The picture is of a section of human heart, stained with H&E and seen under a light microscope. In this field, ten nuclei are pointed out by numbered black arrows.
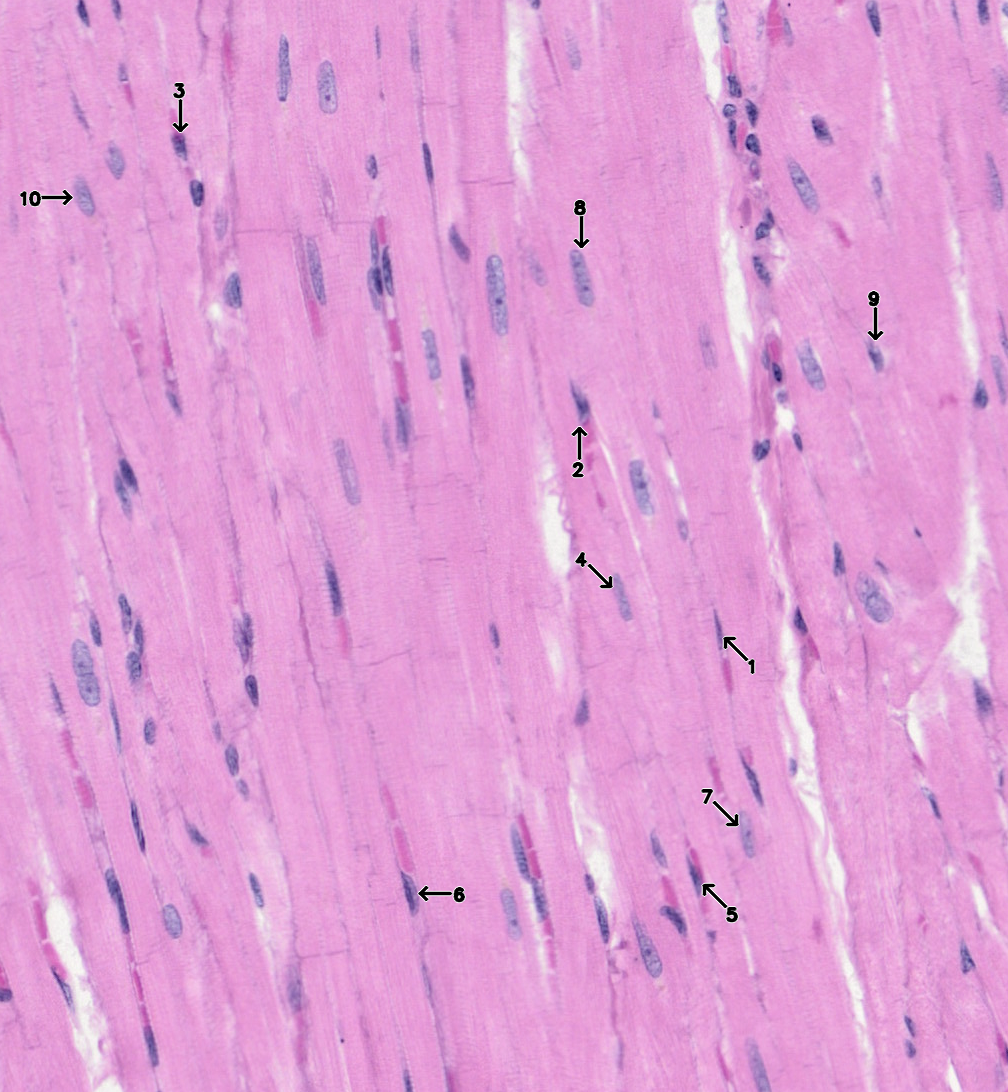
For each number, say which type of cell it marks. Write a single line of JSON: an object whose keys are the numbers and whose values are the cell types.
{"1": "endothelial cell", "2": "endothelial cell", "3": "endothelial cell", "4": "cardiomyocyte", "5": "endothelial cell", "6": "endothelial cell", "7": "cardiomyocyte", "8": "cardiomyocyte", "9": "endothelial cell", "10": "cardiomyocyte"}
